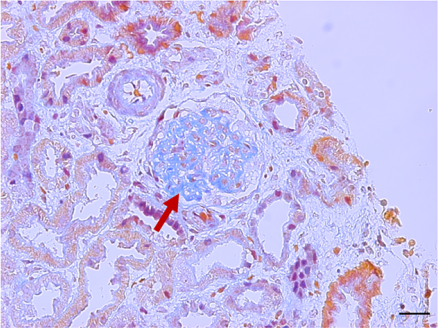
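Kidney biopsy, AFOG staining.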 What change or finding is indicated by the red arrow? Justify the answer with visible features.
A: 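The arrowed glomerulus is filled with blue-staining material. Blue material also lies between tubules.
Hence: Fibrosis.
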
